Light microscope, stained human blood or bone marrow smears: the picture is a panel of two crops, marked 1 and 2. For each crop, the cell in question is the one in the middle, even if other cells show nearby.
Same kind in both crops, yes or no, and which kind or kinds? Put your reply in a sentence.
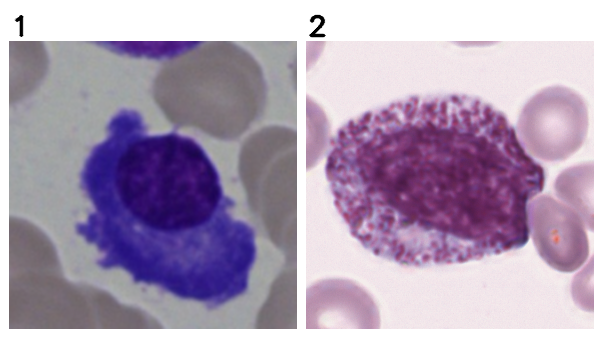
No, crop 1 displays a plasma cell and crop 2 displays a myelocyte.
